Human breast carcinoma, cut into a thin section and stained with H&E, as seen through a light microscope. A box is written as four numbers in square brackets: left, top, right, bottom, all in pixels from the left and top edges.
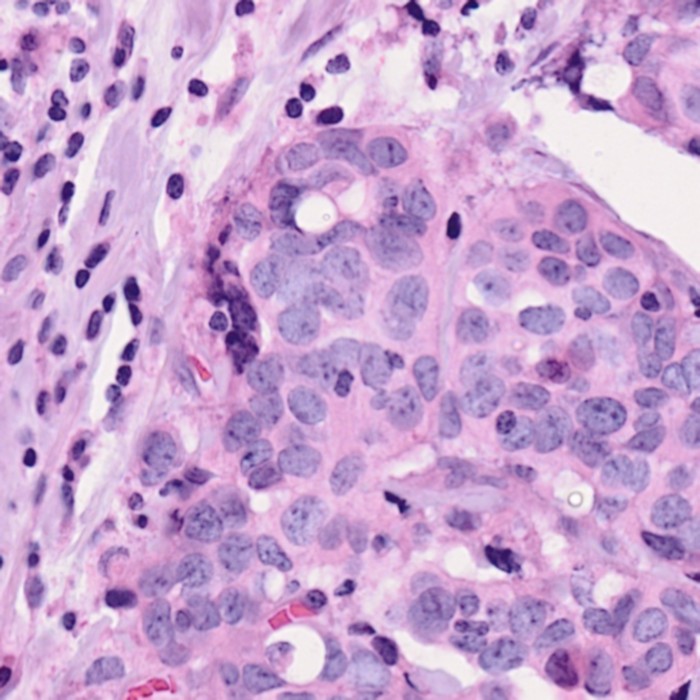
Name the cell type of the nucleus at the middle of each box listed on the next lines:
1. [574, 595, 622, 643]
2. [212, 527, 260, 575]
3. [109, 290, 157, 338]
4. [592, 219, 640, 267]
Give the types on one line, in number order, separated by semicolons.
carcinoma cell; carcinoma cell; lymphocyte; carcinoma cell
